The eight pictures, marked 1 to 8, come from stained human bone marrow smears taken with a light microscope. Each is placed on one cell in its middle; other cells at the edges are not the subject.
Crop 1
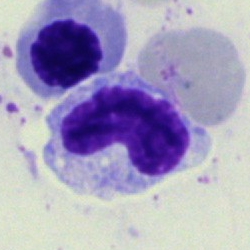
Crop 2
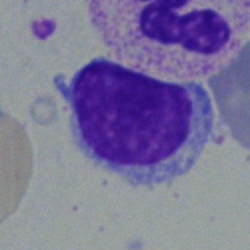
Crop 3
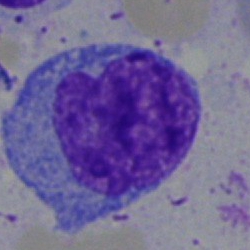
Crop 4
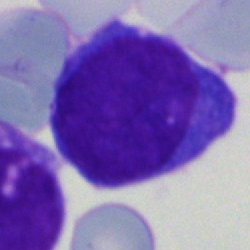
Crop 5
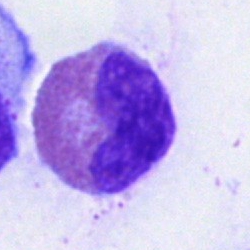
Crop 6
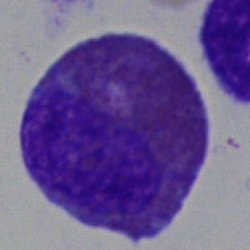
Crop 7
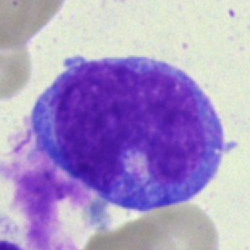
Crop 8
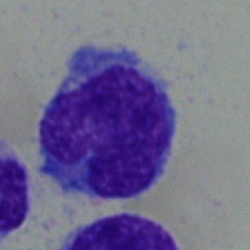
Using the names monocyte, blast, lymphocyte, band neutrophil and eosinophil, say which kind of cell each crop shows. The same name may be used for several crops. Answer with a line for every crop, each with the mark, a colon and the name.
1: band neutrophil
2: lymphocyte
3: monocyte
4: blast
5: eosinophil
6: eosinophil
7: monocyte
8: monocyte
